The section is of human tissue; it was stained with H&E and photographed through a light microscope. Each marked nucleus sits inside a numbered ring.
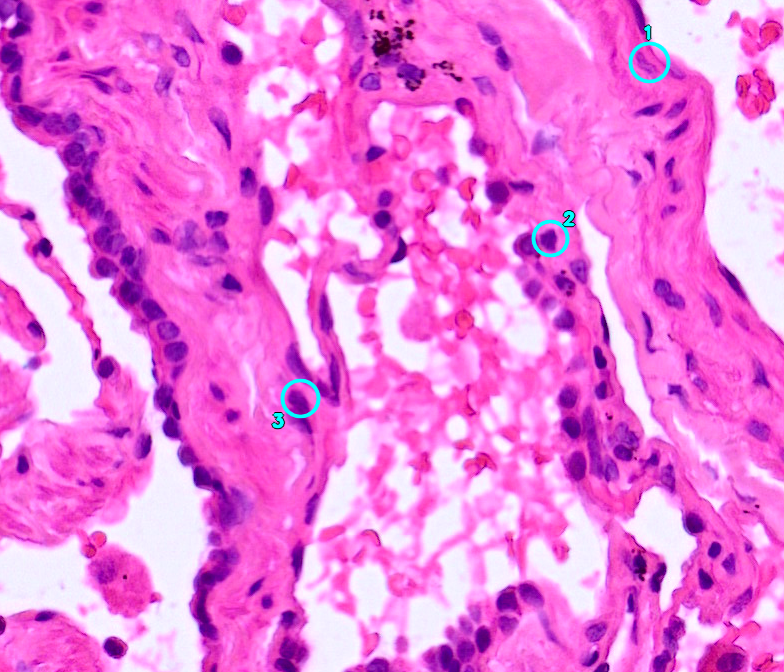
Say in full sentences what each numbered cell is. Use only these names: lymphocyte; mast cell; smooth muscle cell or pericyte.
Cell 1 is a smooth muscle cell or pericyte. Cell 2 is a lymphocyte. Cell 3 is a mast cell.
